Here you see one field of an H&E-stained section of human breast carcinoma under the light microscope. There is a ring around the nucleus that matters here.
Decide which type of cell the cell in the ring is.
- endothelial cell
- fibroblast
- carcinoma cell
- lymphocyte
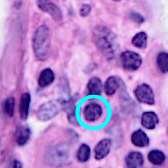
lymphocyte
